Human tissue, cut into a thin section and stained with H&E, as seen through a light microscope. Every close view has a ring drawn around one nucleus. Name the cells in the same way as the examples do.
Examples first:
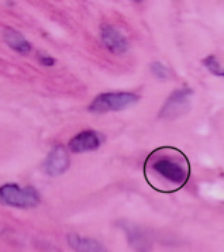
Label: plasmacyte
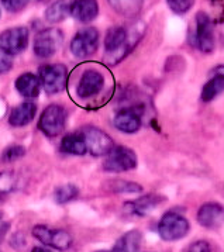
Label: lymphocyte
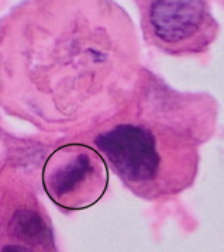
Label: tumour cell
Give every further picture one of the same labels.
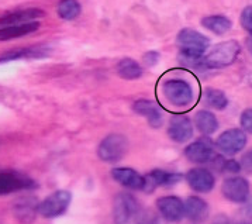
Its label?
lymphocyte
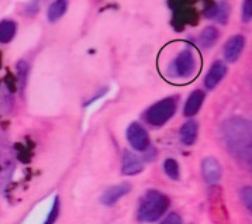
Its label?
lymphocyte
